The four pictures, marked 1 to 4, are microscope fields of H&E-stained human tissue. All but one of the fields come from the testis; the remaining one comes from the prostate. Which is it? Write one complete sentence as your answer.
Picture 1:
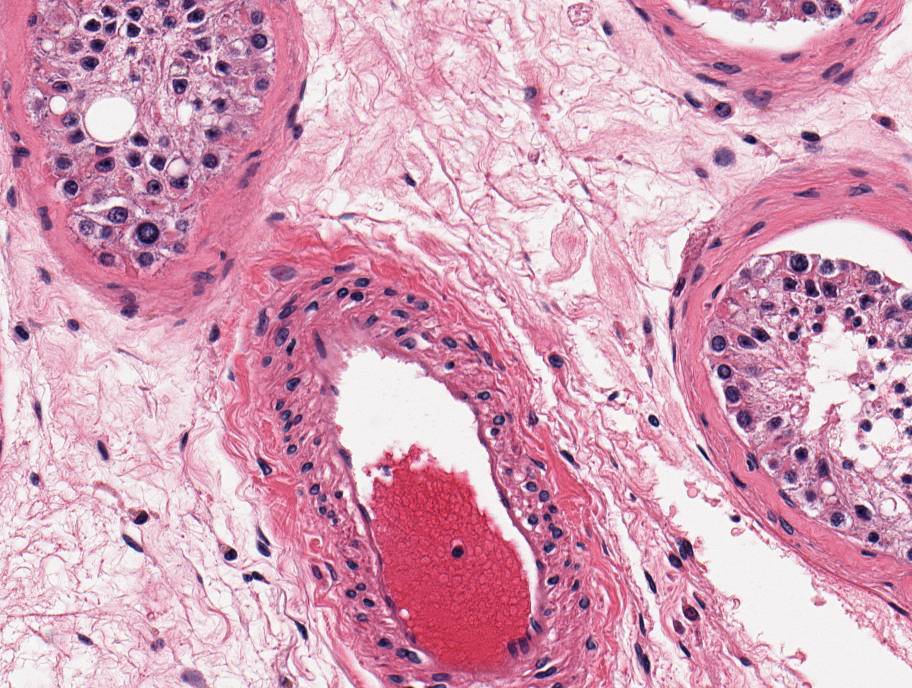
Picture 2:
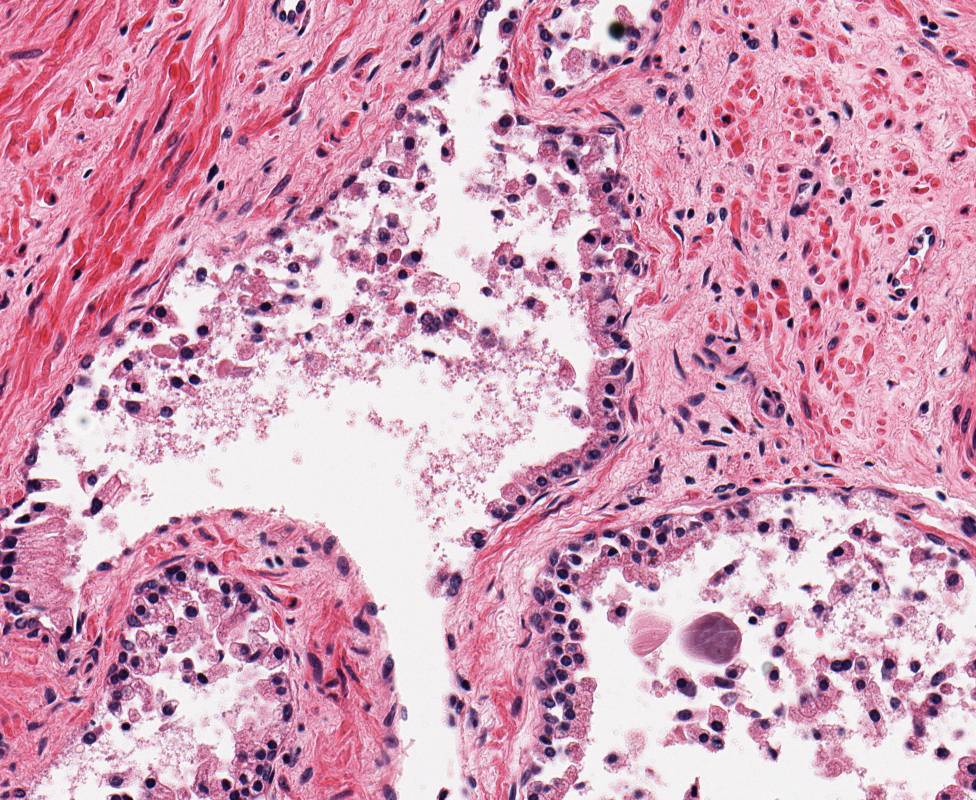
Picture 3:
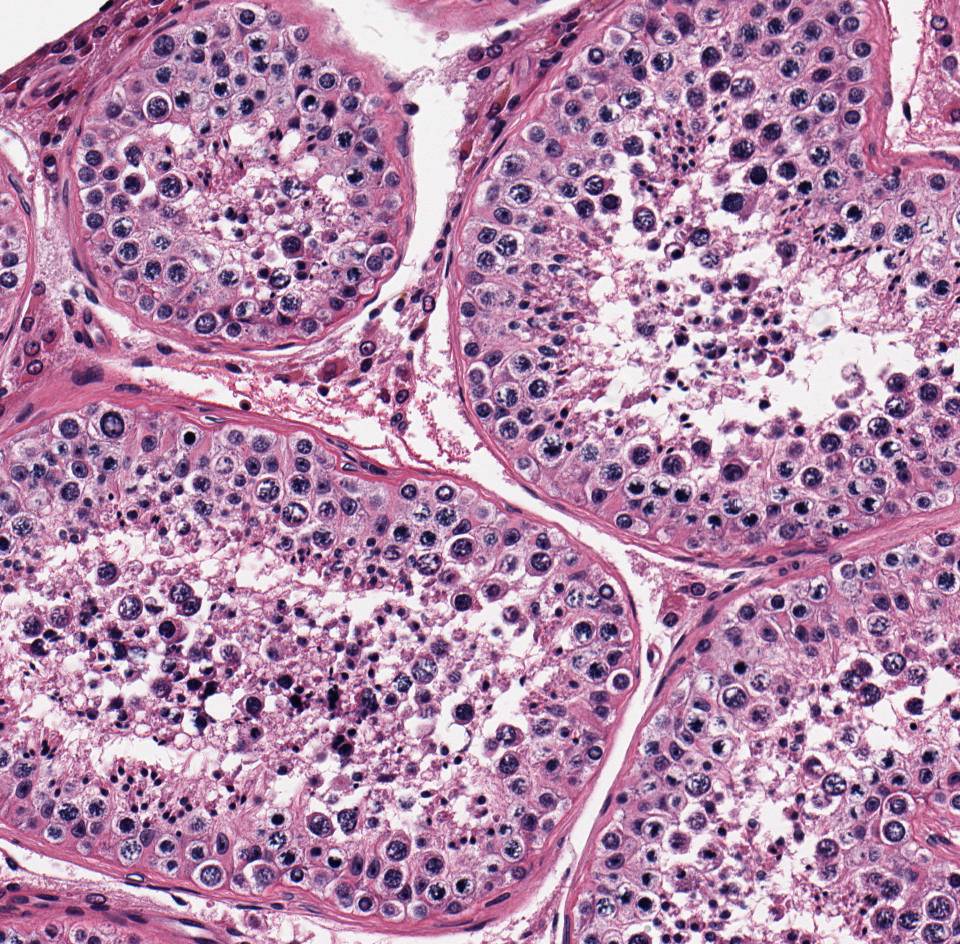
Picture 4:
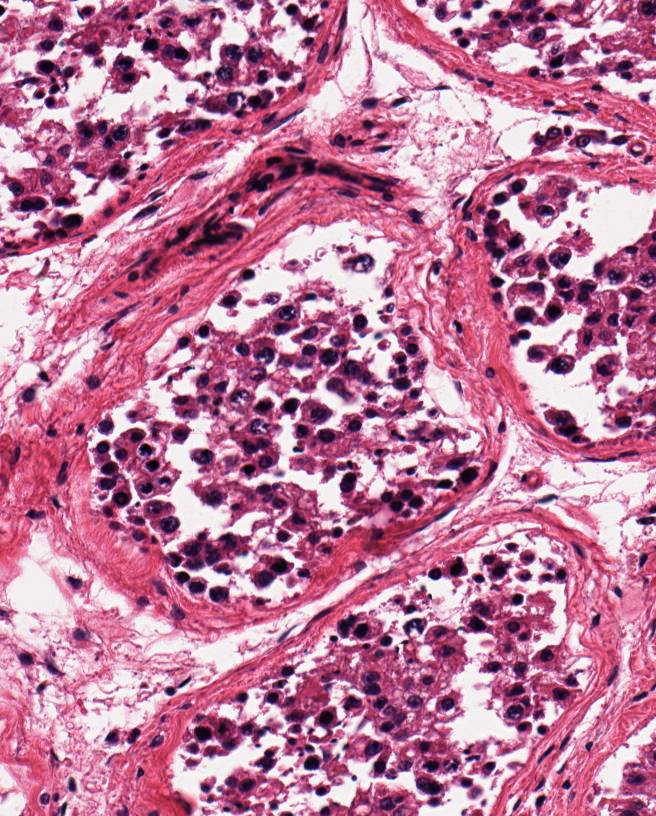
It is picture 2 that comes from the prostate.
